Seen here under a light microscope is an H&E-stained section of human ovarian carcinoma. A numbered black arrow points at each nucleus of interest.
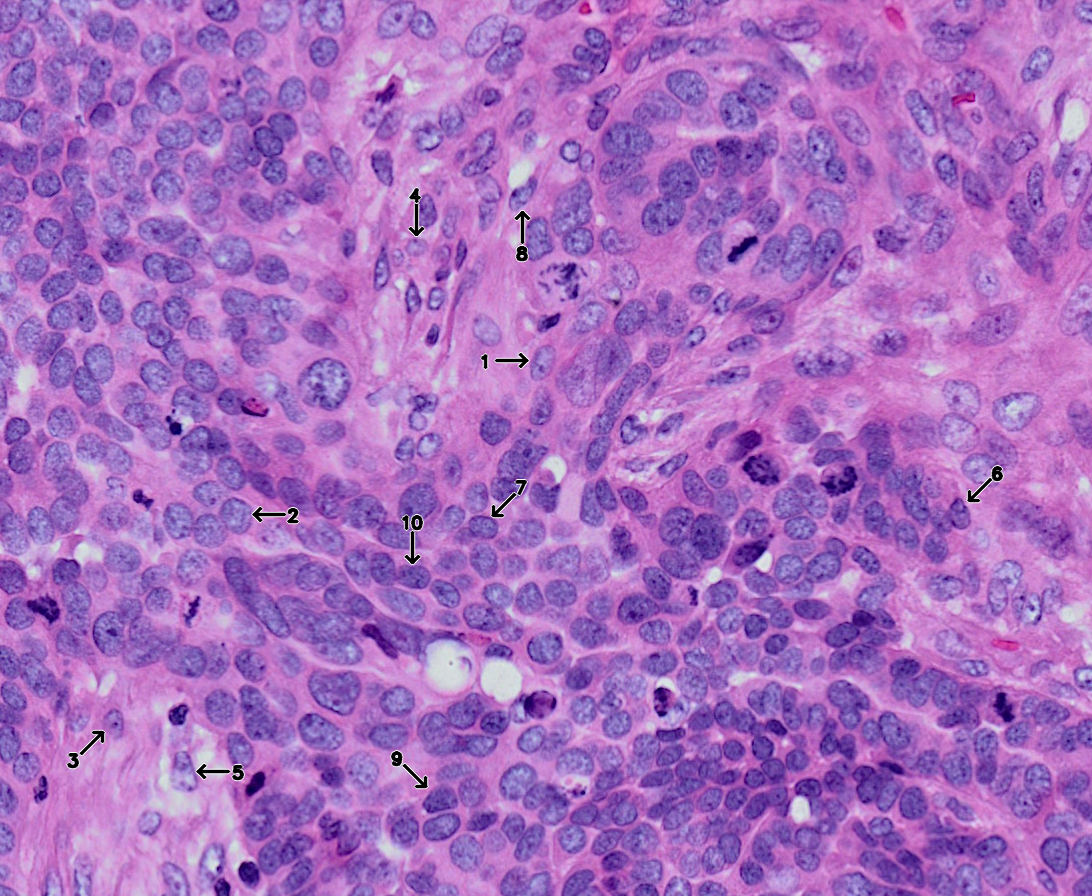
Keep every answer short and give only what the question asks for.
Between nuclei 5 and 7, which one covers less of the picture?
7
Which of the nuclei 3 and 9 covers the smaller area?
3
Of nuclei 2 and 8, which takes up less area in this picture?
8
